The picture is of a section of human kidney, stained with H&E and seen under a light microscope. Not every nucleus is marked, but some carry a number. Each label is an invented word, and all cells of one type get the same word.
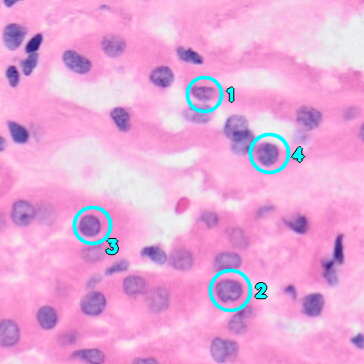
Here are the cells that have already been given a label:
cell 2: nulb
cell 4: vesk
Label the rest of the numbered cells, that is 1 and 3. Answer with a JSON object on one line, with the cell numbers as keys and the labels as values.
{"1": "vesk", "3": "nulb"}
